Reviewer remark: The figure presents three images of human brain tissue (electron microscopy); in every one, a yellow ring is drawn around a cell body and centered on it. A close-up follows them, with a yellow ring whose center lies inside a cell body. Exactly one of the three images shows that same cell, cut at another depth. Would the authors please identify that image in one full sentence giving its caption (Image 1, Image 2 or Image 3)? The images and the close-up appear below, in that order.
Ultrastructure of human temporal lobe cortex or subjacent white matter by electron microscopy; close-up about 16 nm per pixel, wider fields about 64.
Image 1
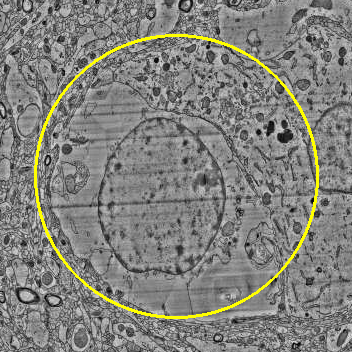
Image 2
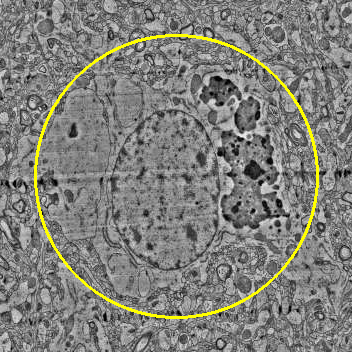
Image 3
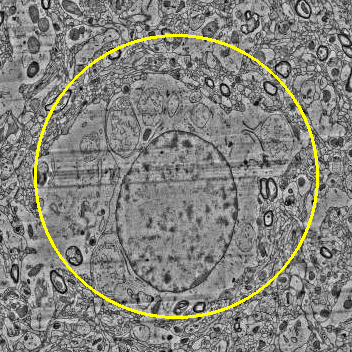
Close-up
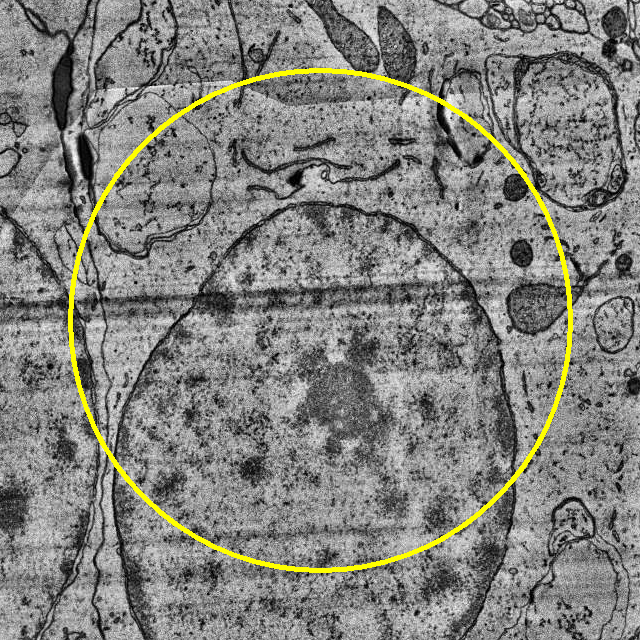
Of all the ringed cells, the close-up shows the one in Image 3.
